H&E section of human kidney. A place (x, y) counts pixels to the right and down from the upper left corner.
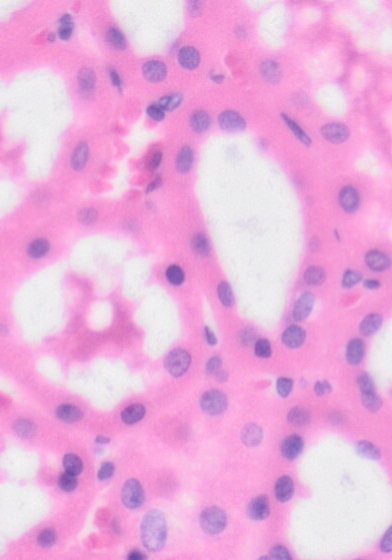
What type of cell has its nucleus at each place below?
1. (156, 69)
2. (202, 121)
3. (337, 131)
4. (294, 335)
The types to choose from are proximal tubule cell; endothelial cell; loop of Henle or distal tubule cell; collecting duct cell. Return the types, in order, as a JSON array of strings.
["loop of Henle or distal tubule cell", "loop of Henle or distal tubule cell", "proximal tubule cell", "loop of Henle or distal tubule cell"]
